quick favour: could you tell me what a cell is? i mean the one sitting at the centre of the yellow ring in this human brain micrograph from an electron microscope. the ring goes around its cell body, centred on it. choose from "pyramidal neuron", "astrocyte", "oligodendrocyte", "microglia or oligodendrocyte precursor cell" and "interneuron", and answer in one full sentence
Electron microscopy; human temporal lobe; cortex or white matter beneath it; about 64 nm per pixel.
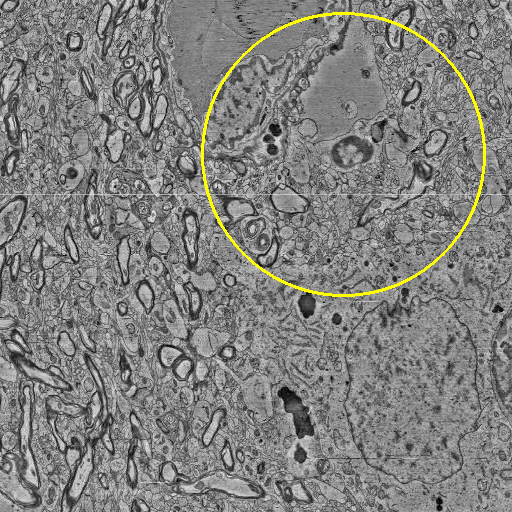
That's a microglial cell or oligodendrocyte precursor cell, the cell sitting at the centre of the yellow ring.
